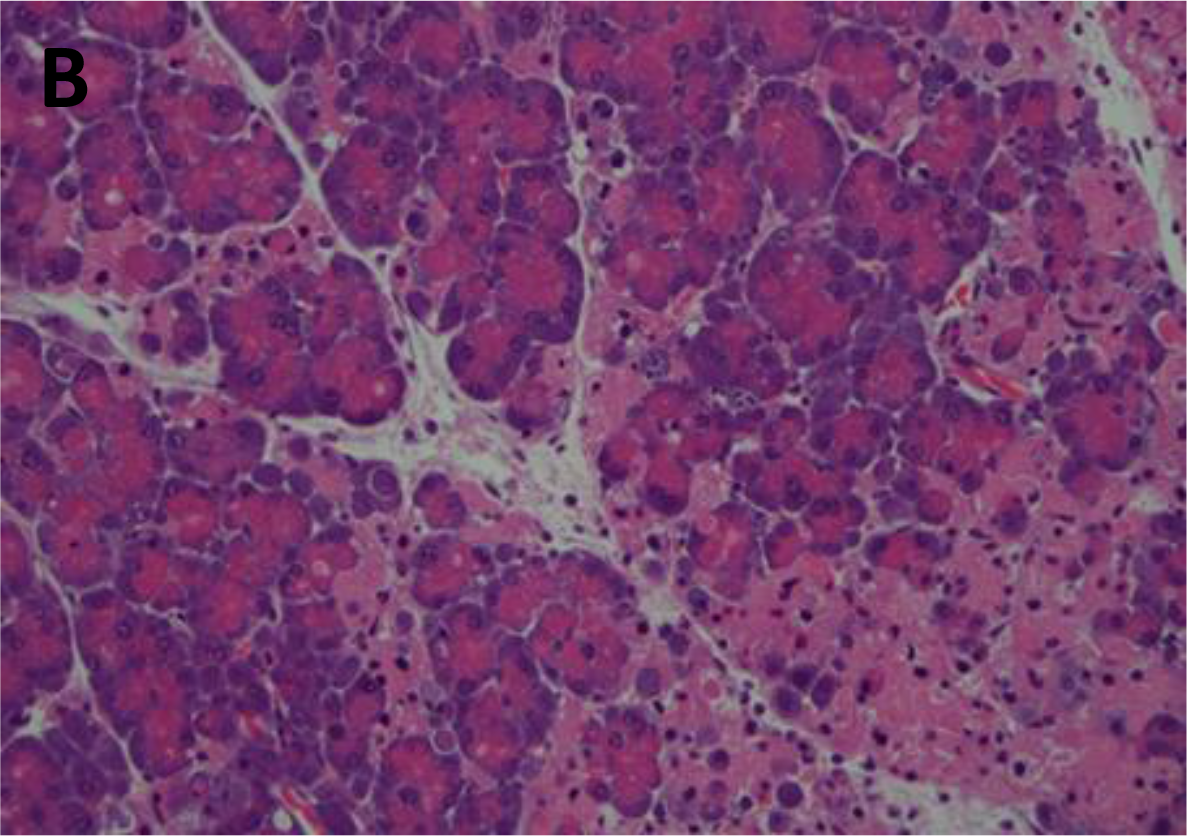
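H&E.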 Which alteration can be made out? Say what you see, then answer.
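Marked oedema. Pale, widened septa between the lobules. Acini are separated by loose, pale-staining material.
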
